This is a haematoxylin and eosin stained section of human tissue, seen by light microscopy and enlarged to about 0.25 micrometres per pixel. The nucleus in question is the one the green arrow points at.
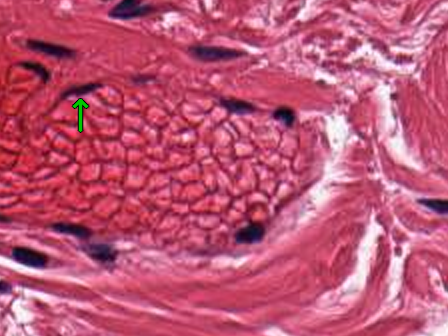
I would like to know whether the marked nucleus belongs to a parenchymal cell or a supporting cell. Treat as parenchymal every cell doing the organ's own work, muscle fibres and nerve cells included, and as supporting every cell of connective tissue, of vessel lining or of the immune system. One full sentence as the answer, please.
A supporting cell is the cell in which the marked nucleus is found.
